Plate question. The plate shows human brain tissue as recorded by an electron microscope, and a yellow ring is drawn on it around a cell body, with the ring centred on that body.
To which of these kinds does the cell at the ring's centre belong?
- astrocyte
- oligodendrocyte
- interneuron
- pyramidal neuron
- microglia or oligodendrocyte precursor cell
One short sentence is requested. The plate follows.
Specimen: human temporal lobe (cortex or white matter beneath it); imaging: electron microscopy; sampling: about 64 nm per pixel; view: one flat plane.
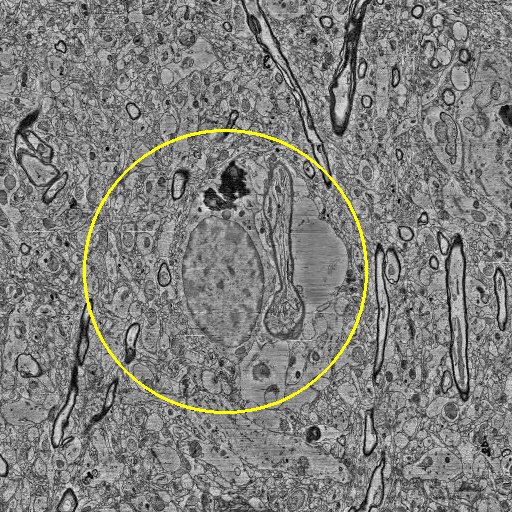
The cell at the ring's centre is an oligodendrocyte.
